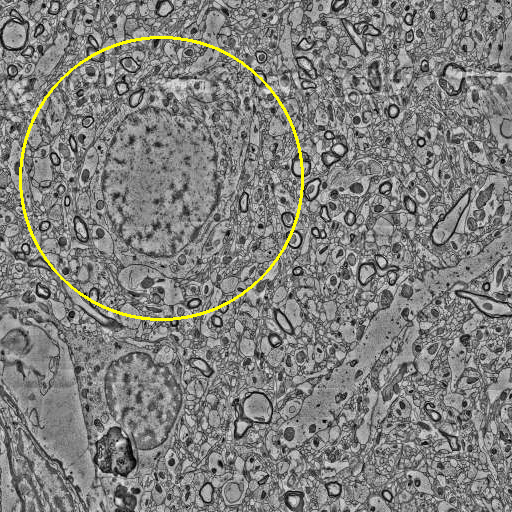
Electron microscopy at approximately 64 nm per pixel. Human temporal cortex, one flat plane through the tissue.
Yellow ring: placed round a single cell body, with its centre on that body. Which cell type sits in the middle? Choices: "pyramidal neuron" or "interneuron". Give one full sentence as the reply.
It is an interneuron whose cell body sits at the centre of the yellow ring.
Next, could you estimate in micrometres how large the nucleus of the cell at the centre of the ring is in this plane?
Approximately 10 micrometres long and 8 micrometres wide, in this plane.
